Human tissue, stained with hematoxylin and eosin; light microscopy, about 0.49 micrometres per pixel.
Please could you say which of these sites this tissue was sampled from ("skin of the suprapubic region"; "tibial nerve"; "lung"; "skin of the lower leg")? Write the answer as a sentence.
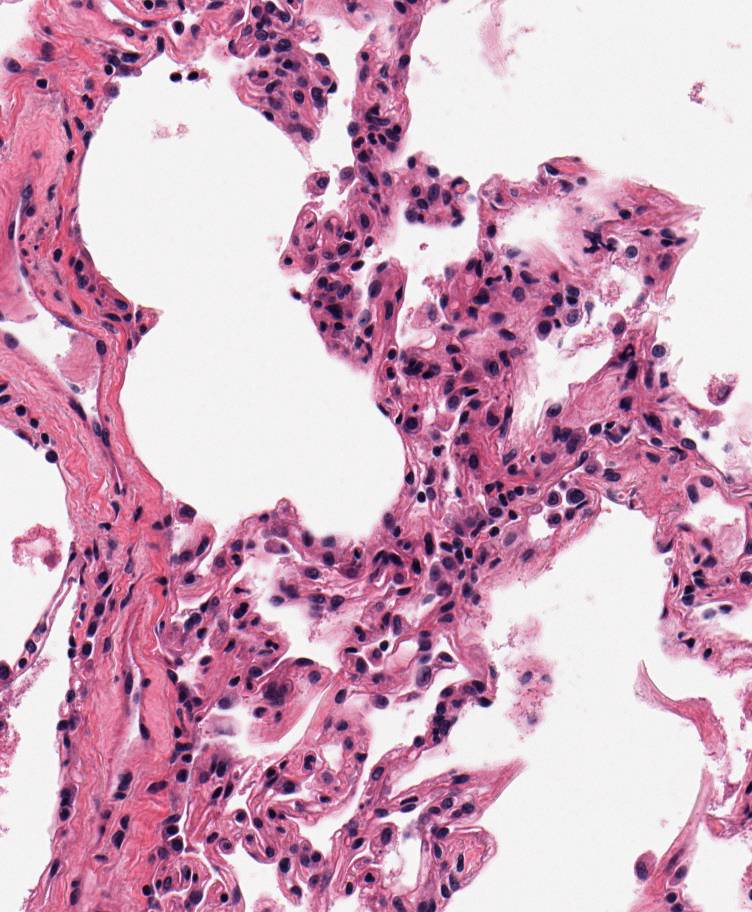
The site this tissue was sampled from is the lung.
